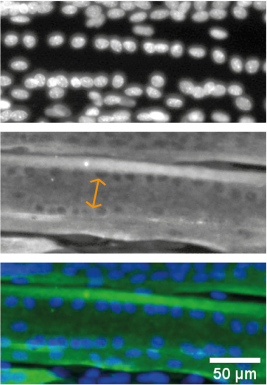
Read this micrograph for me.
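A higher magnification of myotubes shows oval nuclei arranged in neat rows within elongated stained fibres. In the nuclear strip the nuclei are bright, similar in size and packed in lines running along the fibre direction. The merged image shows blue nuclei embedded in green fibres, with a dark band separating adjacent fibres.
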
